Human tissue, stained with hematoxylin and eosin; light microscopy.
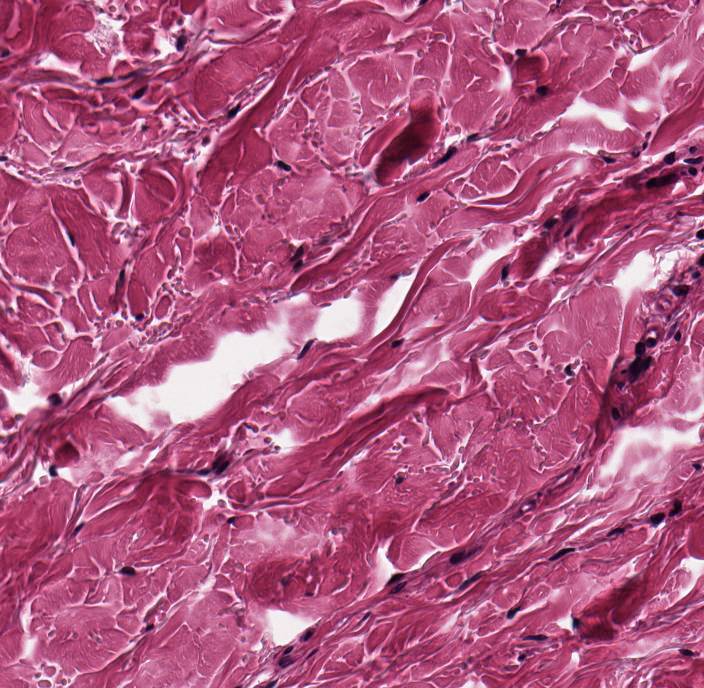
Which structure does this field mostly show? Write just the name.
dermis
